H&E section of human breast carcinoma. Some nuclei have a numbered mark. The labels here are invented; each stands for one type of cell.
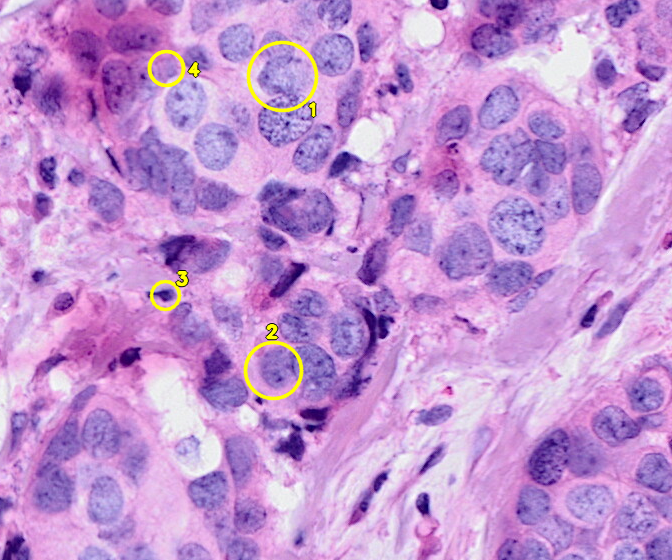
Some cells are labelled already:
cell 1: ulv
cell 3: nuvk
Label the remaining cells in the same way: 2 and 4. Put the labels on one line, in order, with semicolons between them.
ulv; ulv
